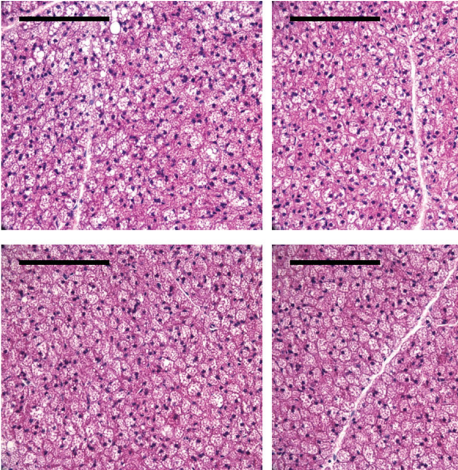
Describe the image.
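Brown adipose tissue made of closely packed polygonal adipocytes, shown in four similar fields. Each cell has pink cytoplasm crowded with many small clear lipid vacuoles, giving a foamy appearance, and a round, dark purple nucleus. Thin pale clefts run between some groups of cells.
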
